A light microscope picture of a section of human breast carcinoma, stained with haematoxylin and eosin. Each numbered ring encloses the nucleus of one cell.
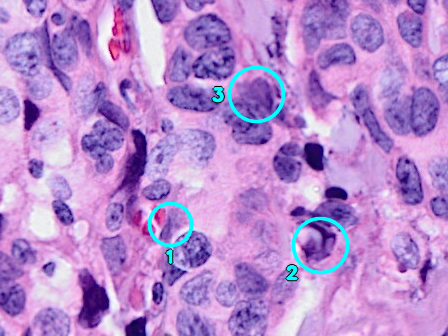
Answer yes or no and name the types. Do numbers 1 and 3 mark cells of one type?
No, cell 3 is a carcinoma cell, but cell 1 is an endothelial cell.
